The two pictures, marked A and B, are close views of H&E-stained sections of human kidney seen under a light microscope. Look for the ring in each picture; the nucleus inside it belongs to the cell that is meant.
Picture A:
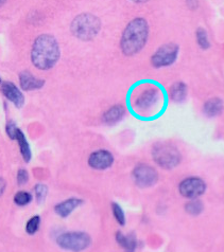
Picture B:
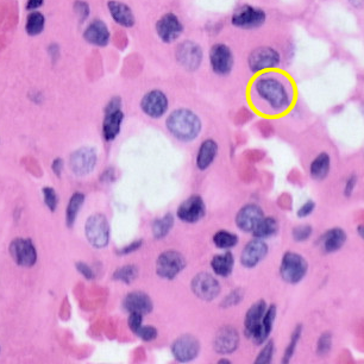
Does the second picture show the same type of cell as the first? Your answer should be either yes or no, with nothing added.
no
